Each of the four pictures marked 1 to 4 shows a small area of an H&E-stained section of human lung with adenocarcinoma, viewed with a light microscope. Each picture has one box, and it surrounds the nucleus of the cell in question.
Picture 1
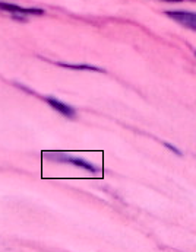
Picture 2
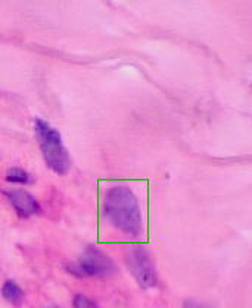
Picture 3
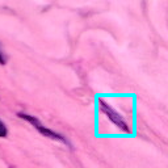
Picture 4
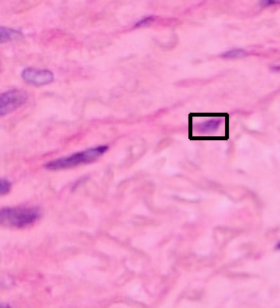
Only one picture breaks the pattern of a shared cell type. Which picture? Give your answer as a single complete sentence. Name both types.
Picture 4 is the odd one out: it shows a “smooth muscle cell or pericyte”, while the others show fibroblasts.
